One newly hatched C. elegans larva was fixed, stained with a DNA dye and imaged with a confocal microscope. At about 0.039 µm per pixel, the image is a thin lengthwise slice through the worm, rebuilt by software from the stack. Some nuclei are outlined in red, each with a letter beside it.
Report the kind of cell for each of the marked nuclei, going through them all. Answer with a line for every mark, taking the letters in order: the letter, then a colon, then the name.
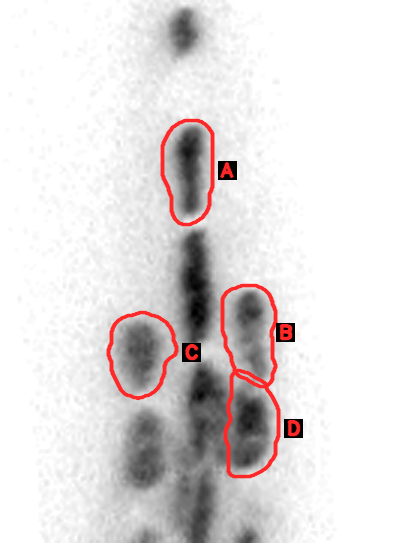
A: pharyngeal epithelial cell
B: body wall muscle cell
C: body wall muscle cell
D: body wall muscle cell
